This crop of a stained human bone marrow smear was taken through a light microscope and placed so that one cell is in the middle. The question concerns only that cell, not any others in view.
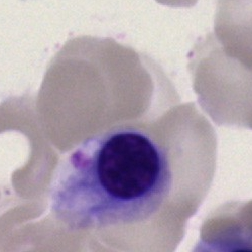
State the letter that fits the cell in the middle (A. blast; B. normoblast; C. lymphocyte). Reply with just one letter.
B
